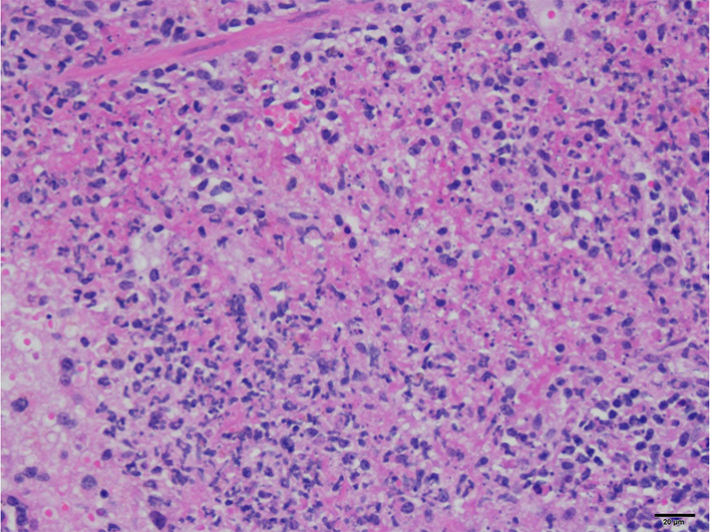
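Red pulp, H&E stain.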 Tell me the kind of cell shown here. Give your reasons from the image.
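Neutrophils. Many cells with small dark, lobed or segmented nuclei are scattered among the pink material. Fragments of dark nuclear debris lie among them.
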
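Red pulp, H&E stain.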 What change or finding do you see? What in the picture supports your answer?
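Large areas of pale pink, granular to fibrillar eosinophilic material replace normal tissue. Scattered fragmented nuclear debris lies within the pink material. Intact tissue architecture is lost over much of the field. On this evidence: necrosis and fibrin accumulation.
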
